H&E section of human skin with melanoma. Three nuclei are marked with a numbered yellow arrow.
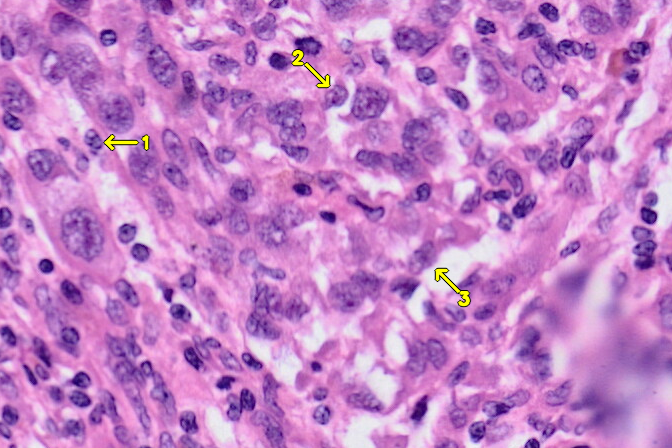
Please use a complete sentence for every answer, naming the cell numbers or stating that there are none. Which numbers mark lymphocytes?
Only number 1 of the marked cells is a lymphocyte.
